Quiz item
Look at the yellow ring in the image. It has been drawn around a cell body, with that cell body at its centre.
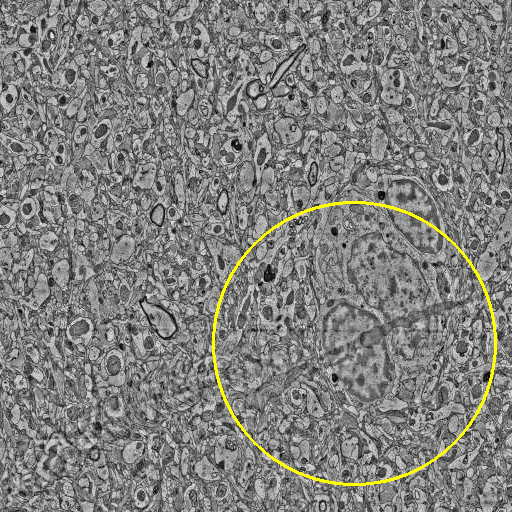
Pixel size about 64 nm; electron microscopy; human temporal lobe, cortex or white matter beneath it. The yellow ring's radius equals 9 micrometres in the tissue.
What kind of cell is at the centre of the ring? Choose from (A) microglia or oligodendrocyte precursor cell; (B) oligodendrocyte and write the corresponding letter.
B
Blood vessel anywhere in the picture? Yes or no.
No, no blood vessel can be seen.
